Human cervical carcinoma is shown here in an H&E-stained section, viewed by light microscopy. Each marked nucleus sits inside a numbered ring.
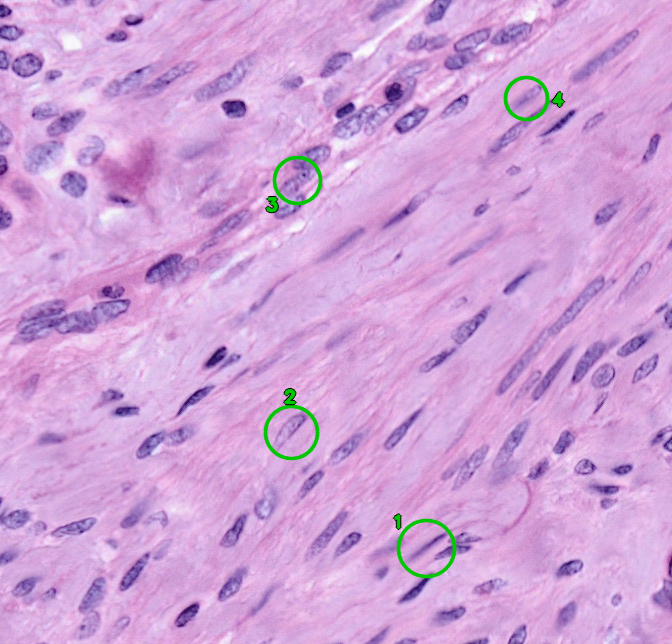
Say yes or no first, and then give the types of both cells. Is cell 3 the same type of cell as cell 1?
No, cell 3 is an endothelial cell and cell 1 is a fibroblast.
